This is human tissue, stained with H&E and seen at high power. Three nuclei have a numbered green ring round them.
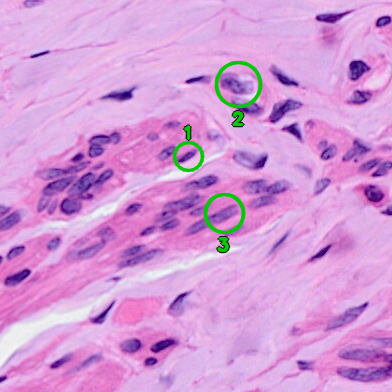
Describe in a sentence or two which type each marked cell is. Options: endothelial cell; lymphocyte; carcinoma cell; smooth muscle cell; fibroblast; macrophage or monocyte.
Cells 1 and 3 are smooth muscle cells. Cell 2 is an endothelial cell.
